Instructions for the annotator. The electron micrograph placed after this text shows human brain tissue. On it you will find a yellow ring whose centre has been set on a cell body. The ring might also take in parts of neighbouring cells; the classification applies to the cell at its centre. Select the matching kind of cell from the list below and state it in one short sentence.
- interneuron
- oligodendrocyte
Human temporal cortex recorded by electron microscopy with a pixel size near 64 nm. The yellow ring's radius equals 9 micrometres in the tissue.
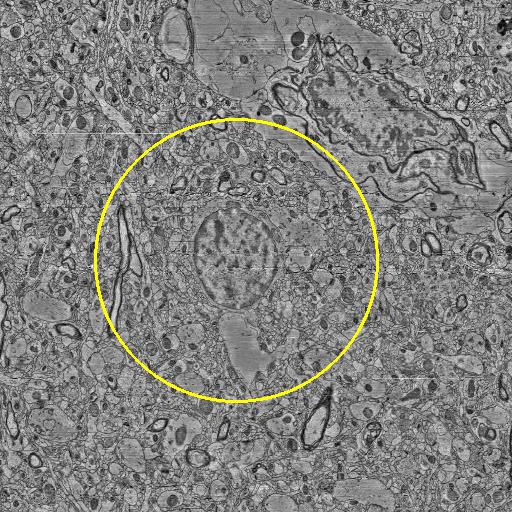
The ring is drawn on the cell body of an oligodendrocyte.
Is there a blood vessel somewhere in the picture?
Yes, the picture includes a blood vessel.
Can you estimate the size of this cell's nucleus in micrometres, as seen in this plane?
The ringed cell's nucleus is about 7 micrometres long and 5 micrometres wide in this plane.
